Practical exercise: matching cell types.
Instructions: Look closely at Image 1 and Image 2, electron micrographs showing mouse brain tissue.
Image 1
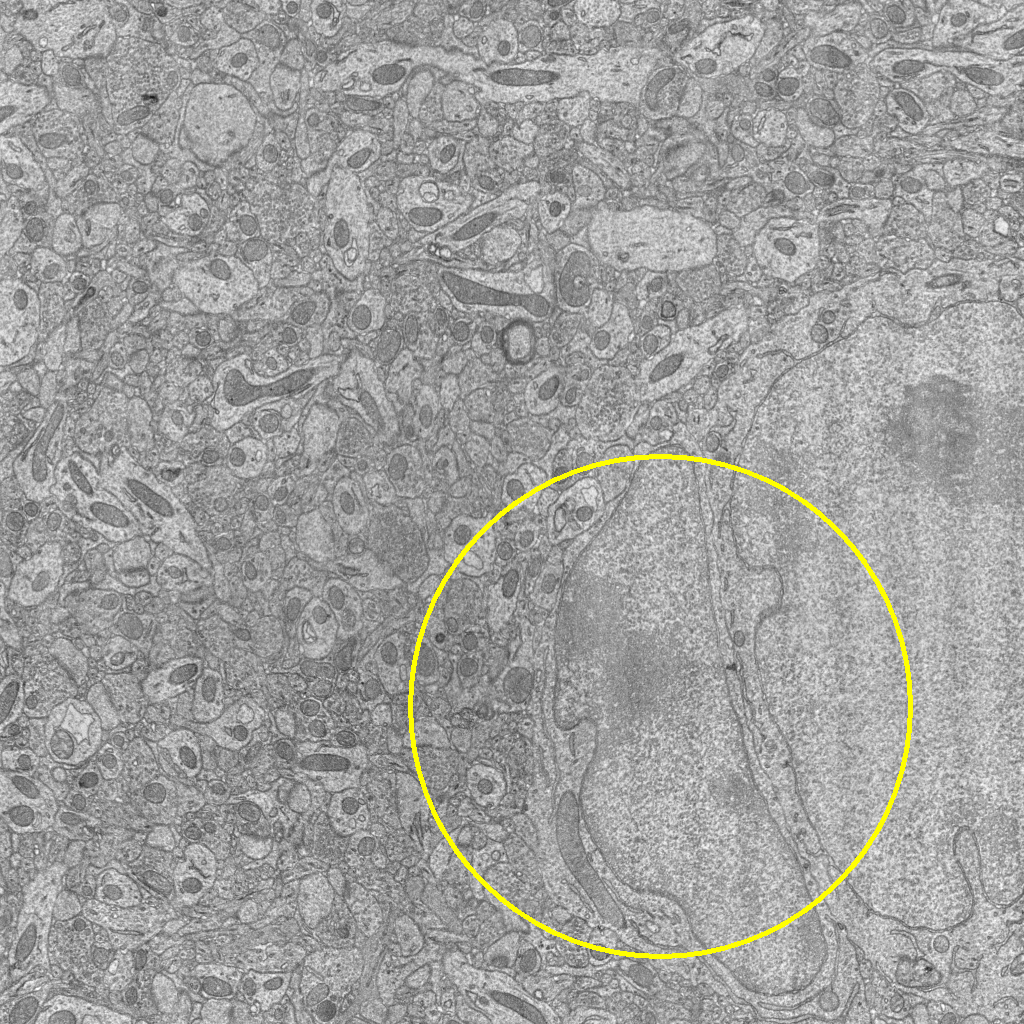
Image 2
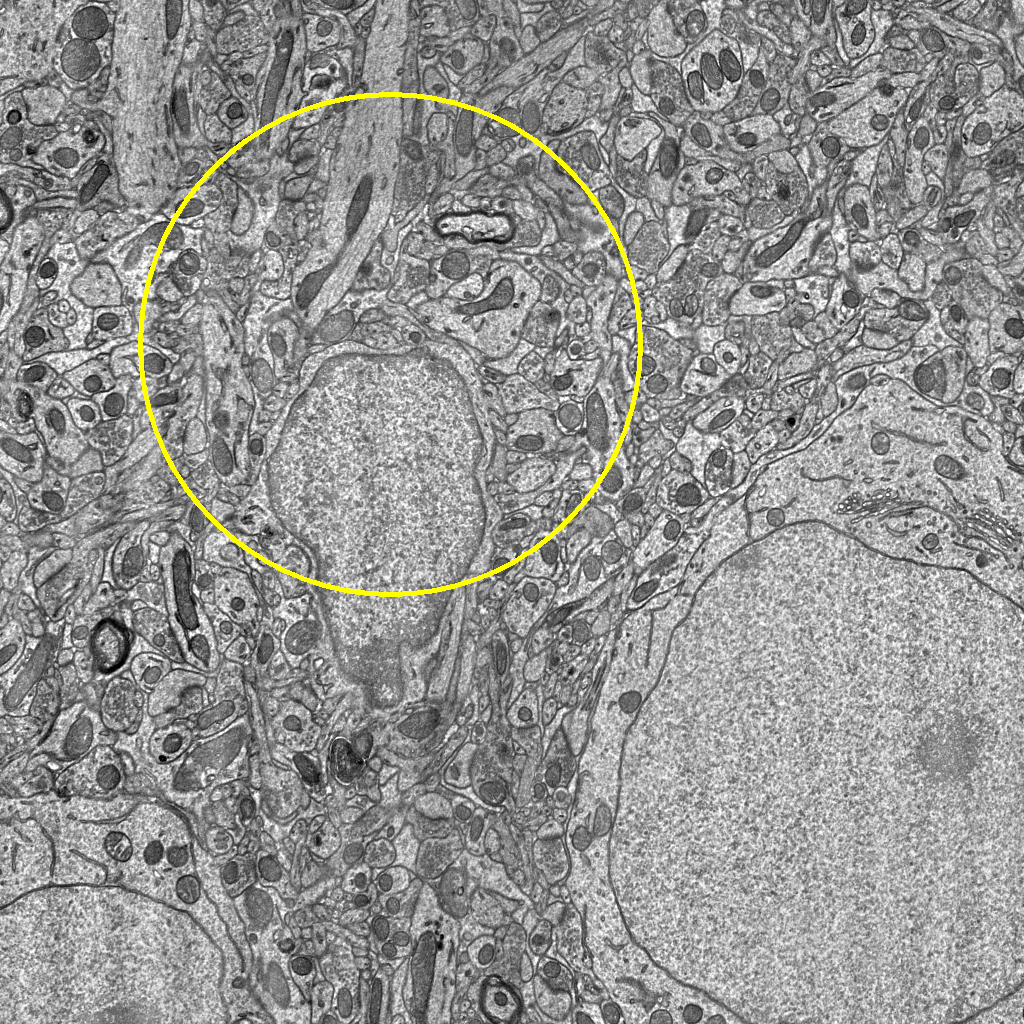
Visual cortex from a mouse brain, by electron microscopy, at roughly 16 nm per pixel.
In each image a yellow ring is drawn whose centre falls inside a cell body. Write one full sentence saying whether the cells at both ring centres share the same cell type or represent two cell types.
Across Image 1 and Image 2, the cells at the ring centres share the same cell type.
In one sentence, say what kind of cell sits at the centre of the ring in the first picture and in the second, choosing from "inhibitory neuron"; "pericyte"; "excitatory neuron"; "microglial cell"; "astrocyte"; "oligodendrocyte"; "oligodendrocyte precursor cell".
Each of the two pictures has an oligodendrocyte precursor cell at the ring centre.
